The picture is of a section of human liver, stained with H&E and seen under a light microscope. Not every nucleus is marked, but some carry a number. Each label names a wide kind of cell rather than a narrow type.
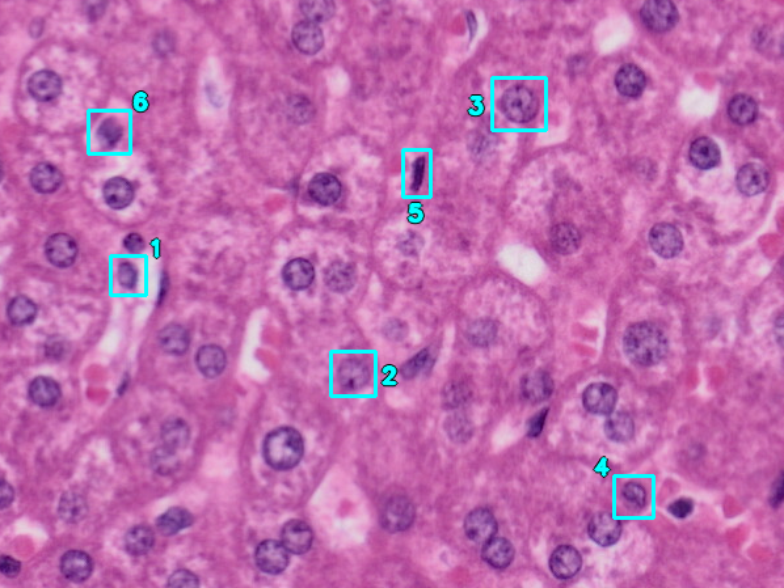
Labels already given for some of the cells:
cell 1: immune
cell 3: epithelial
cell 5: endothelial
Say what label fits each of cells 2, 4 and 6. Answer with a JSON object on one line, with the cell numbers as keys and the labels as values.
{"2": "epithelial", "4": "immune", "6": "endothelial"}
